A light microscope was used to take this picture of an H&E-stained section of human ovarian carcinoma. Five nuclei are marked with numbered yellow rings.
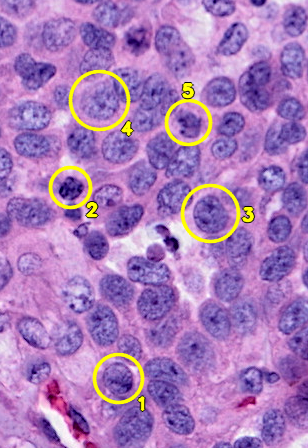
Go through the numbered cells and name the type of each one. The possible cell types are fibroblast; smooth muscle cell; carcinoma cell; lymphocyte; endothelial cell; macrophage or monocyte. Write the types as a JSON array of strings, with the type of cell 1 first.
["carcinoma cell", "lymphocyte", "carcinoma cell", "carcinoma cell", "macrophage or monocyte"]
